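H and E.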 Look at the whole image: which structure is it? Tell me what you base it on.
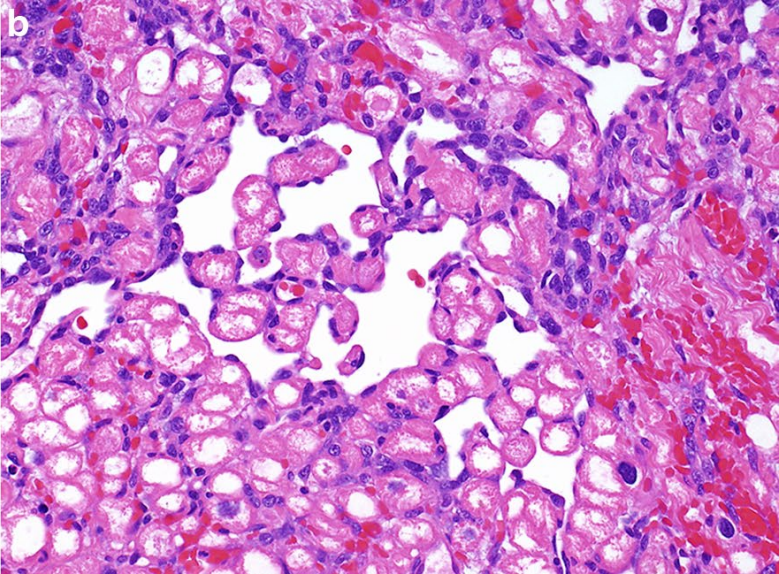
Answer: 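Irregular, angular clear spaces run between the pink cells. Small dark elongated nuclei sit along the edges of these spaces. Red blood cells lie in some of the spaces.
Conclusion: ill-defined, angulated vascular channels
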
